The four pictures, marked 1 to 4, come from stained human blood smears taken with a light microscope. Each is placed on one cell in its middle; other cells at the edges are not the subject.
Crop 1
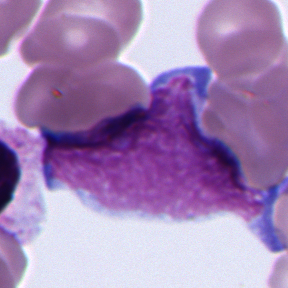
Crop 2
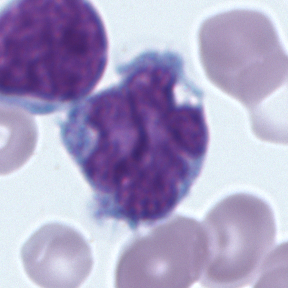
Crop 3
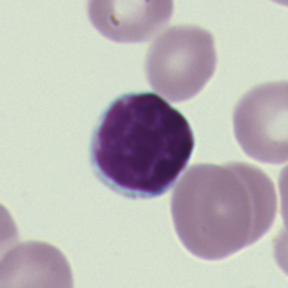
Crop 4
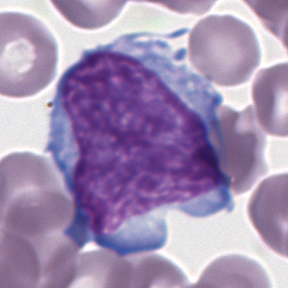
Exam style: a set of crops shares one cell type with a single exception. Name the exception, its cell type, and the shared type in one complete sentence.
Crop 3 is the one to flag: it is a lymphocyte, and the rest show blasts.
